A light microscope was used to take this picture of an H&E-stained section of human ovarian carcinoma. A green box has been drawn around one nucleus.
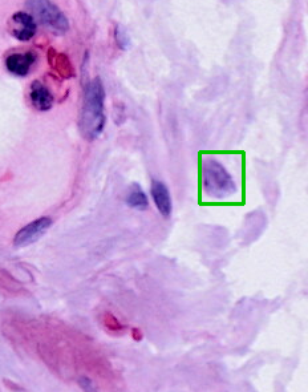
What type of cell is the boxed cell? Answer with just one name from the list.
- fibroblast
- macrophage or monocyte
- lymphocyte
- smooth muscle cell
fibroblast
